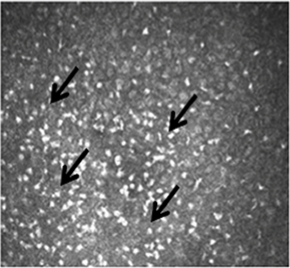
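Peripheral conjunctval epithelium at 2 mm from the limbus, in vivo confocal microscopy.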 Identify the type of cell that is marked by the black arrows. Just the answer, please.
Inflammatory cells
